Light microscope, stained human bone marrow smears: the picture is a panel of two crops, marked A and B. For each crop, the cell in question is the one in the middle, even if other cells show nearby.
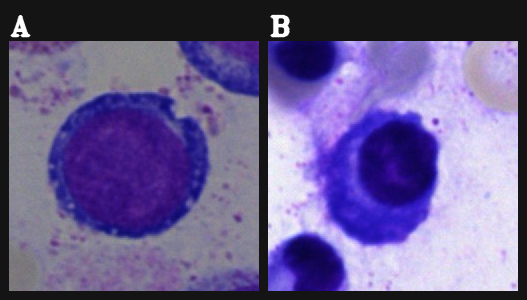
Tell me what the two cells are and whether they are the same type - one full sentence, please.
No, crop B centres on a plasma cell, and crop A centres on a proerythroblast.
